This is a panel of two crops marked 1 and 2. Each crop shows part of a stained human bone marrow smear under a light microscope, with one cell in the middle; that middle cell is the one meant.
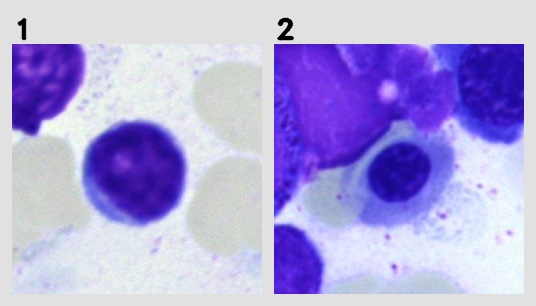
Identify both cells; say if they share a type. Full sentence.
No, crop 1 carries a lymphocyte at its centre, and crop 2 carries an erythroblast.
